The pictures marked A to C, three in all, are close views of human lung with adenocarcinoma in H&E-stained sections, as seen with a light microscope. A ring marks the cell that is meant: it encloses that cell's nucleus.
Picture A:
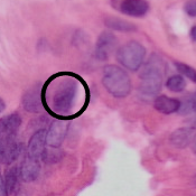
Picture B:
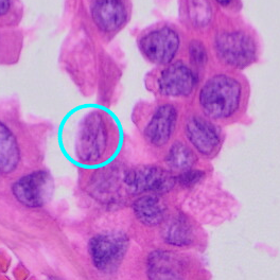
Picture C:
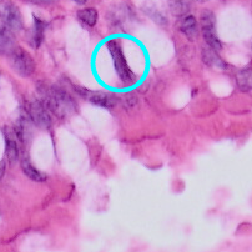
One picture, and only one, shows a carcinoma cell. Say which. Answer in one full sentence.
The cell in picture B is the carcinoma cell.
